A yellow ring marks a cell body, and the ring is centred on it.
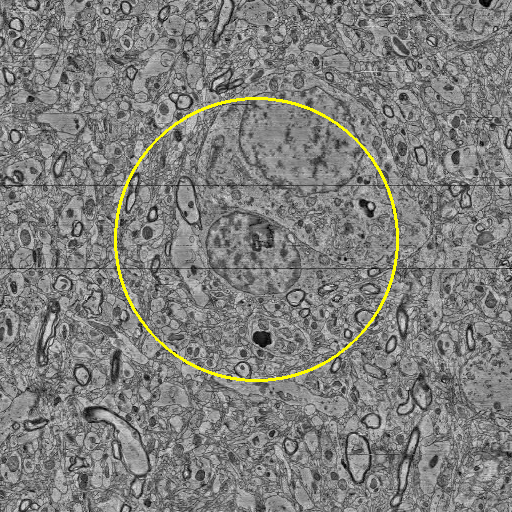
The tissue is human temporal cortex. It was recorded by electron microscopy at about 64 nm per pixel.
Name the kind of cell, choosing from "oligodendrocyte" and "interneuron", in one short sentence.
The marked cell body belongs to an oligodendrocyte.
